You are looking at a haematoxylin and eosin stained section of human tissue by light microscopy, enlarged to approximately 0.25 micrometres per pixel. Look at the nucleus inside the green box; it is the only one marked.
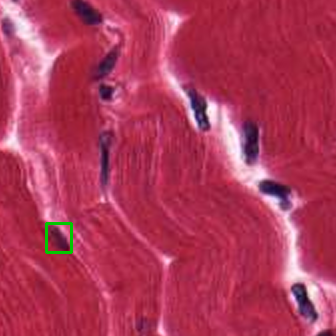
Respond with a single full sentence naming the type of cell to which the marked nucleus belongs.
The owner of the marked nucleus is a skeletal muscle fibre.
